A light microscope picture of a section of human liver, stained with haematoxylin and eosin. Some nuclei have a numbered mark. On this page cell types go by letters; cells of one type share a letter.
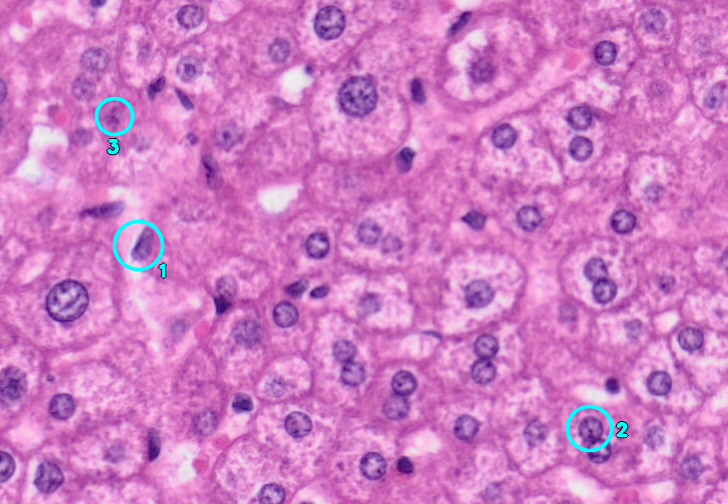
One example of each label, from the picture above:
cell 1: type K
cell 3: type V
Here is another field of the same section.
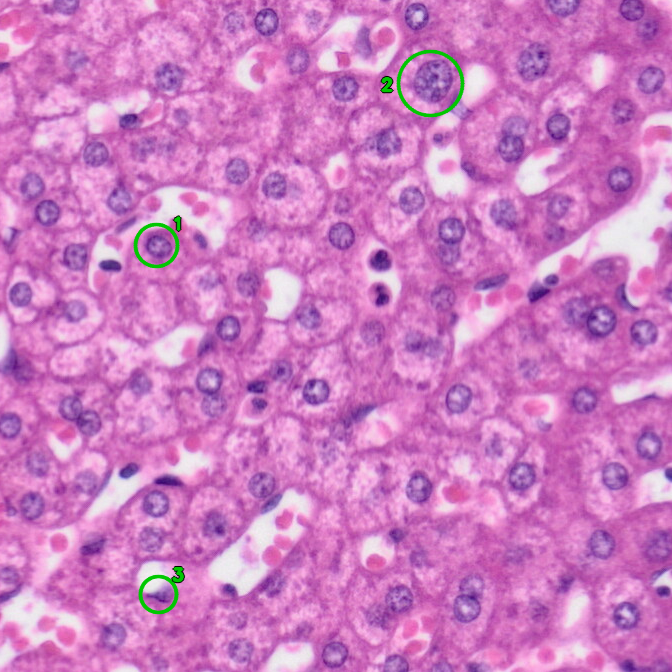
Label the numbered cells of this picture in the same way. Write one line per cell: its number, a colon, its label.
1: type V
2: type V
3: type K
